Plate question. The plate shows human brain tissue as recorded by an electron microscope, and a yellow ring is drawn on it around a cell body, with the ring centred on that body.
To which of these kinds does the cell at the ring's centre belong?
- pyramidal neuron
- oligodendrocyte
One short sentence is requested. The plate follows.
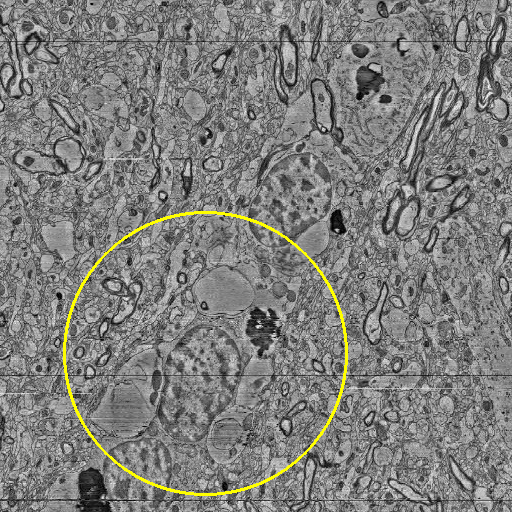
The cell at the ring's centre is an oligodendrocyte.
